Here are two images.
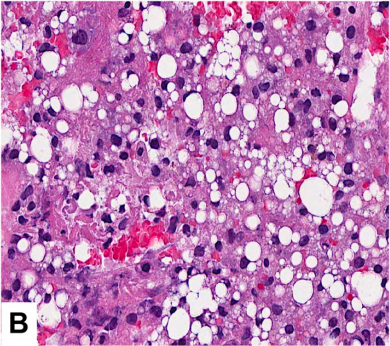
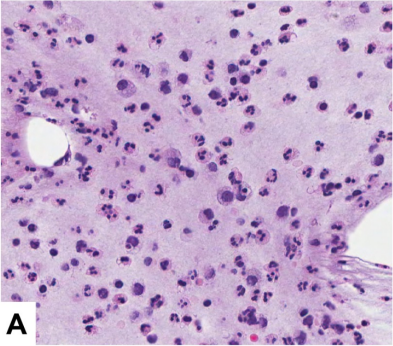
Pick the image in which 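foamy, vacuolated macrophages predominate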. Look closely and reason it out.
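The first image. First image: most cells are large with clear-vacuolated cytoplasm, with many round empty spaces. Second image: most cells are small with multilobed nuclei and no vacuolated cytoplasm.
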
